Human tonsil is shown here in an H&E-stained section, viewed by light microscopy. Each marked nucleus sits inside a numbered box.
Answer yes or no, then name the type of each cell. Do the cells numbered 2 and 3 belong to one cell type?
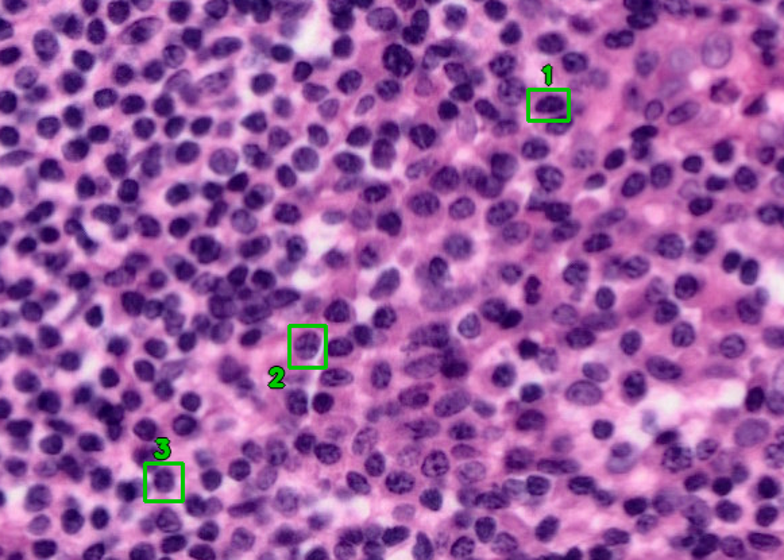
No, the cell bearing number 2 is a plasma cell, while the one bearing number 3 is a small lymphocyte.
